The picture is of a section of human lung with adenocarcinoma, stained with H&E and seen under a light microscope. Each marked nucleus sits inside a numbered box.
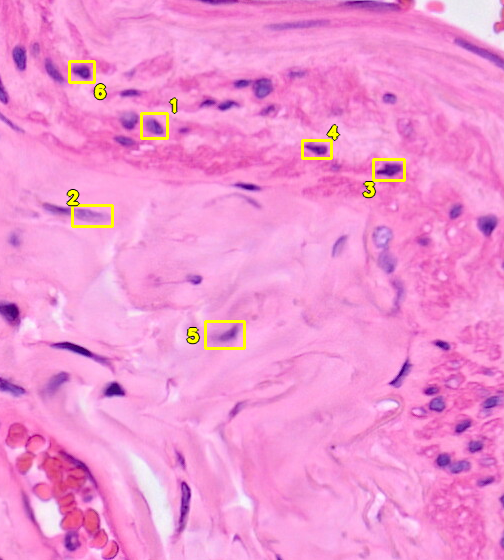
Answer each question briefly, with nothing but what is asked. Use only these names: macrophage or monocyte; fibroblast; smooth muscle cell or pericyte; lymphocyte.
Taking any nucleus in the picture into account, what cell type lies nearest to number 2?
fibroblast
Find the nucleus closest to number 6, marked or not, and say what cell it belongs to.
smooth muscle cell or pericyte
